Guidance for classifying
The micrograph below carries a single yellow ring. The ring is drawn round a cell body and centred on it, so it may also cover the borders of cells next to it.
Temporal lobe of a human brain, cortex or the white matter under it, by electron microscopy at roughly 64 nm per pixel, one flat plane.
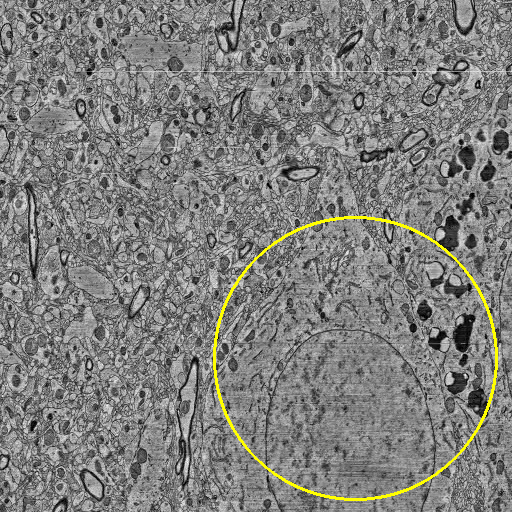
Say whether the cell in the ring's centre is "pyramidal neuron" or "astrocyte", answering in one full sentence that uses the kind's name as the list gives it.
Within the yellow ring, a pyramidal neuron is the cell whose body sits at the centre.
